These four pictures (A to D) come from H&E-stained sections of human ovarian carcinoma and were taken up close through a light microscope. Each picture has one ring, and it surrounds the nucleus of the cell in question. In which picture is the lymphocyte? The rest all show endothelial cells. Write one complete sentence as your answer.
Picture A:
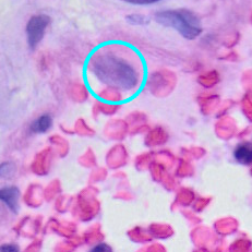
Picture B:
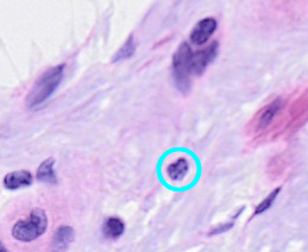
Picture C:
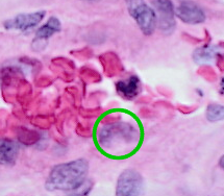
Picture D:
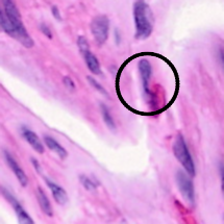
It is picture B that shows the lymphocyte.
